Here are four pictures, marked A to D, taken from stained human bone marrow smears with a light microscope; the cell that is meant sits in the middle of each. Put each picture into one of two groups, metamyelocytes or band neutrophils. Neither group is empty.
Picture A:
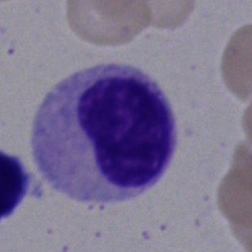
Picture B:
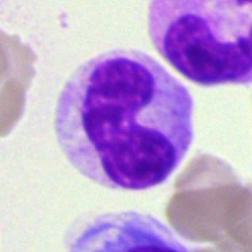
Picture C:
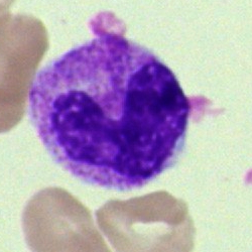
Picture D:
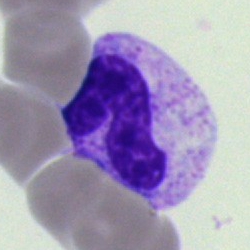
A: metamyelocyte
B: band neutrophil
C: band neutrophil
D: band neutrophil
